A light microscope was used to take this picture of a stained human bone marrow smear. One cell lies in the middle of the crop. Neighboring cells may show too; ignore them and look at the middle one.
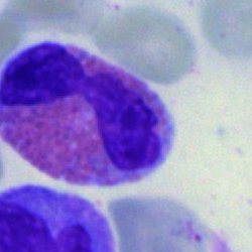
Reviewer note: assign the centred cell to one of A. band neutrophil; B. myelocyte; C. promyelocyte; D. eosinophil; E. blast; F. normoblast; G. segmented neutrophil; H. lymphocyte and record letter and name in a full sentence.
What option D states is correct, the central cell being an eosinophil.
